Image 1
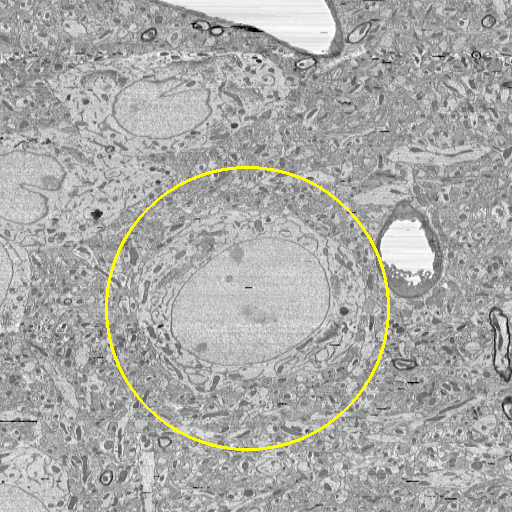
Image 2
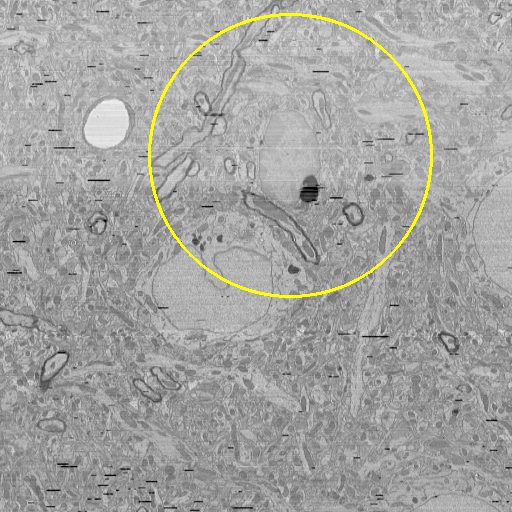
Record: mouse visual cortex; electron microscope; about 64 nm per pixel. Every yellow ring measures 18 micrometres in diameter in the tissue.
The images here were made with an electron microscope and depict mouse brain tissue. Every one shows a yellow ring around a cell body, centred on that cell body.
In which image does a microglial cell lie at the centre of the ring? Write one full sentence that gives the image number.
My answer is image 2, where the asked-for cell sits at the centre of the ring.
